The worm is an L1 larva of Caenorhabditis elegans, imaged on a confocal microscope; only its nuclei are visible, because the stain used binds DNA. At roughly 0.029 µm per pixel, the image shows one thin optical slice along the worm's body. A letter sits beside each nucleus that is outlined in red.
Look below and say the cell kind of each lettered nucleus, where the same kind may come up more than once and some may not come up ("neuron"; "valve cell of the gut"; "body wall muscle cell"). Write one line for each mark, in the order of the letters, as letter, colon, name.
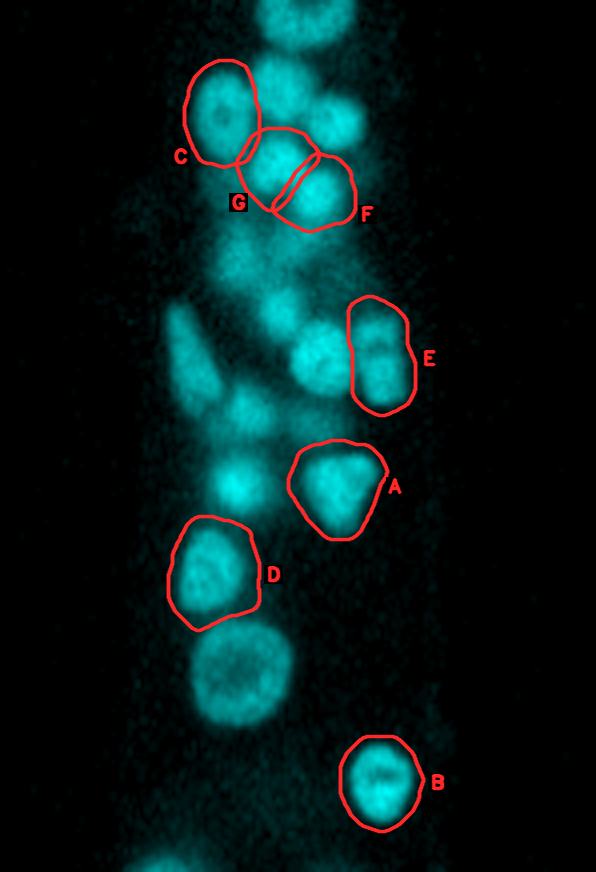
A: valve cell of the gut
B: body wall muscle cell
C: body wall muscle cell
D: neuron
E: body wall muscle cell
F: neuron
G: neuron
